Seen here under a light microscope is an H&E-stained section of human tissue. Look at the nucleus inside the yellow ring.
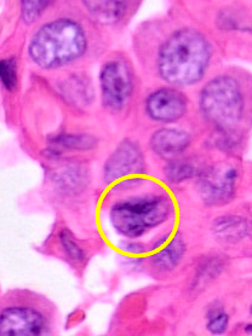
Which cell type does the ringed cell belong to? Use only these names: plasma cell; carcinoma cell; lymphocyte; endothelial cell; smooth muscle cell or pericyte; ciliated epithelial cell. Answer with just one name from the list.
carcinoma cell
